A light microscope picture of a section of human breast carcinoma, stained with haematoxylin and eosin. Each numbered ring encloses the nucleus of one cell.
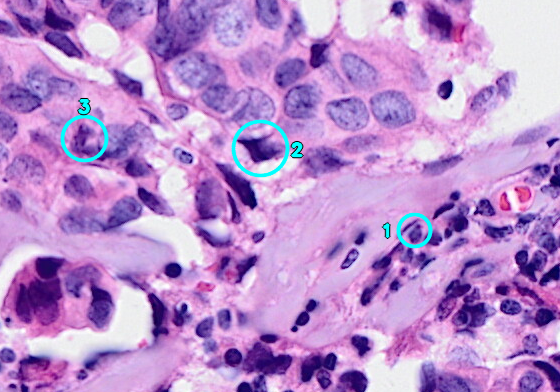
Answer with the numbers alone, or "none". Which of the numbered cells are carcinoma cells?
2, 3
